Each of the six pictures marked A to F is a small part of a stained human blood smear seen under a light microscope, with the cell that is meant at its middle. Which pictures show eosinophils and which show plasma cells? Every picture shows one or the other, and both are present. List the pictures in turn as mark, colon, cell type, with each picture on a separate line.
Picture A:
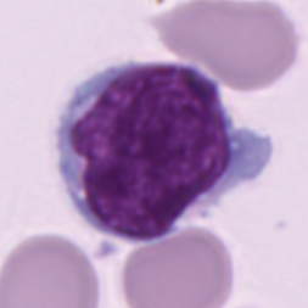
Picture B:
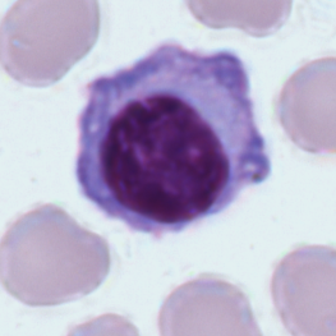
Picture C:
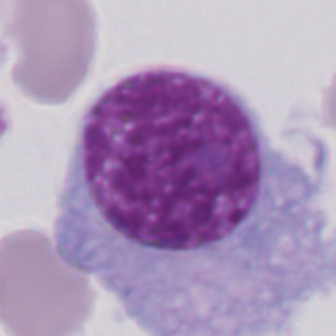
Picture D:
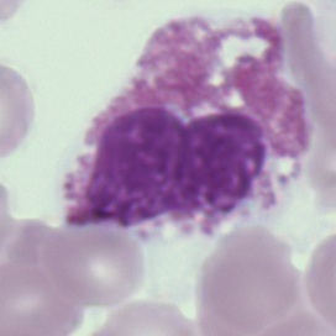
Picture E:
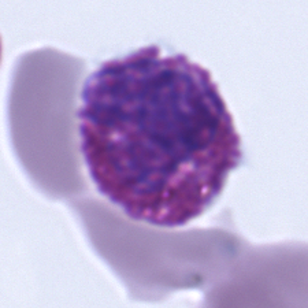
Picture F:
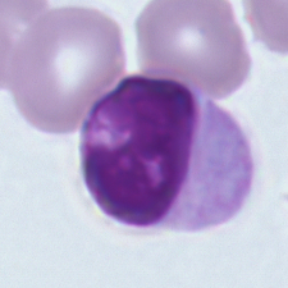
A: plasma cell
B: plasma cell
C: plasma cell
D: eosinophil
E: eosinophil
F: plasma cell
